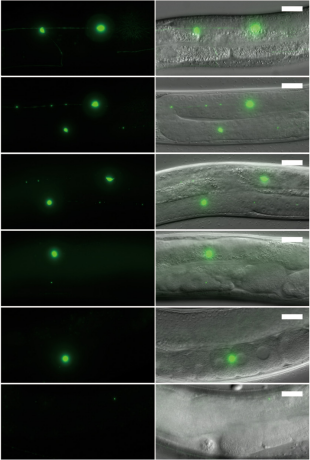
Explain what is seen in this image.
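These are neurons in the body of a nematode worm, shown as green fluorescence alone on the left and merged onto a grey differential interference contrast view of the worm on the right. Each neuron appears as a small round green cell body, and in the upper images thin green fibres run from them along the length of the body. In the merged views the cell bodies sit within the worm's tissues beneath the body wall. Further down the series fewer green cell bodies are seen, and in the lowest images the green signal is almost absent.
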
